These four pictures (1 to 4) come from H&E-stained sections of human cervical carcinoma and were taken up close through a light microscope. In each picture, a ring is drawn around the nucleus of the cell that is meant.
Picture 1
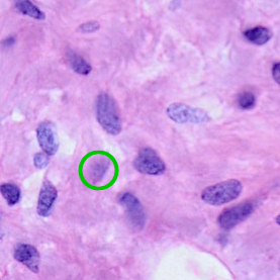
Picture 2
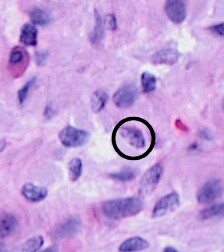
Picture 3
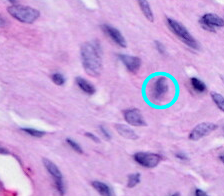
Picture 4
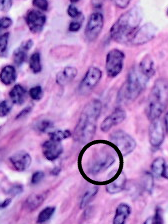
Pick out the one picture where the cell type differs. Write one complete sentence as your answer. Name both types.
Picture 4 is the odd one out: it shows an endothelial cell, while the others show fibroblasts.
